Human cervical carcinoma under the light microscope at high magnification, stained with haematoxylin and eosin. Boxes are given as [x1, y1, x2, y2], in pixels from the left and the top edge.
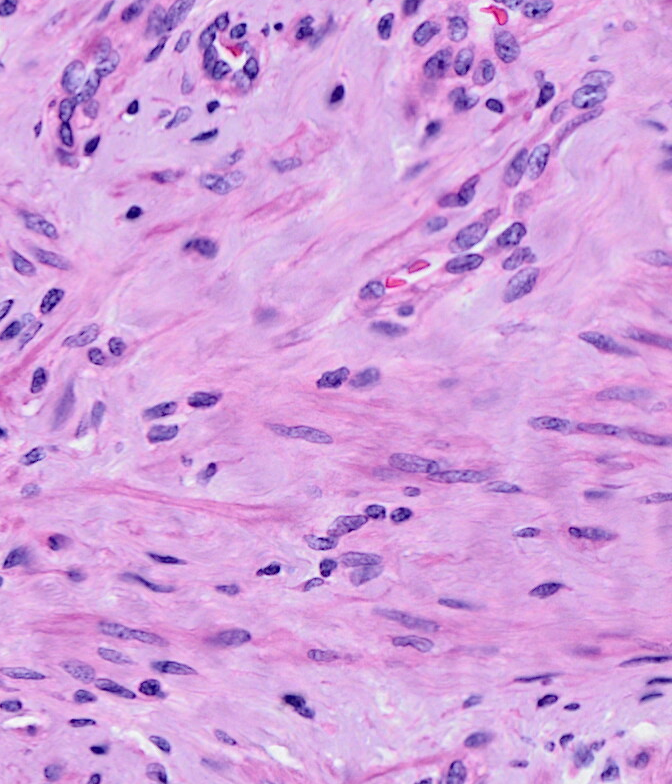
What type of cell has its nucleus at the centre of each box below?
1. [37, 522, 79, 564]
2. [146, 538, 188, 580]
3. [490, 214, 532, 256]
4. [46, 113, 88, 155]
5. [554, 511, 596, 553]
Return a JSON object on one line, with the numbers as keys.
{"1": "smooth muscle cell", "2": "fibroblast", "3": "endothelial cell", "4": "endothelial cell", "5": "smooth muscle cell"}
